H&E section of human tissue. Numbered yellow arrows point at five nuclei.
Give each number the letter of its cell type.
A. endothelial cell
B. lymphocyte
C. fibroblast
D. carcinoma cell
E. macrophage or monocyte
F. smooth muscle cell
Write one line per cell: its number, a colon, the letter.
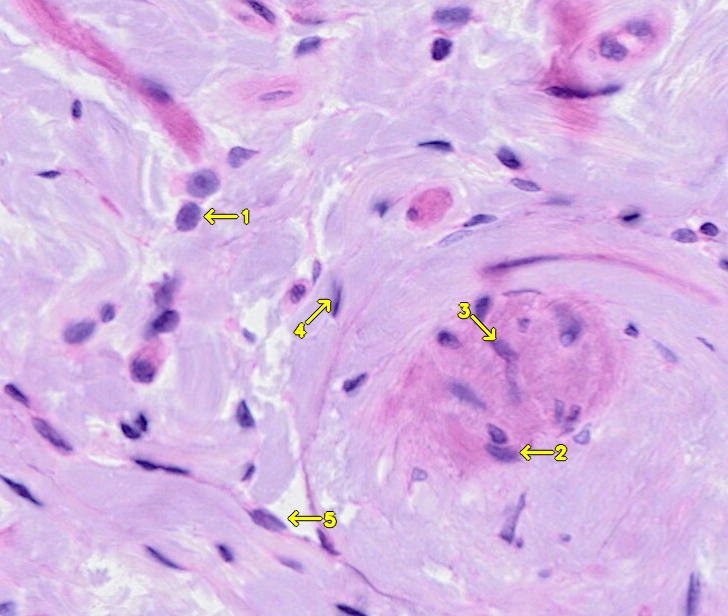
1: C
2: F
3: F
4: C
5: C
